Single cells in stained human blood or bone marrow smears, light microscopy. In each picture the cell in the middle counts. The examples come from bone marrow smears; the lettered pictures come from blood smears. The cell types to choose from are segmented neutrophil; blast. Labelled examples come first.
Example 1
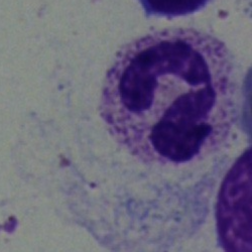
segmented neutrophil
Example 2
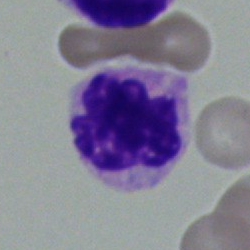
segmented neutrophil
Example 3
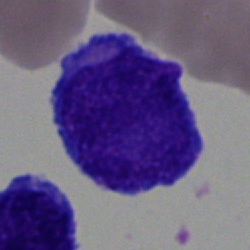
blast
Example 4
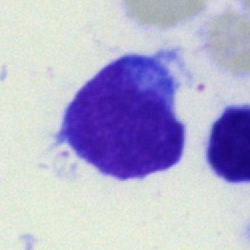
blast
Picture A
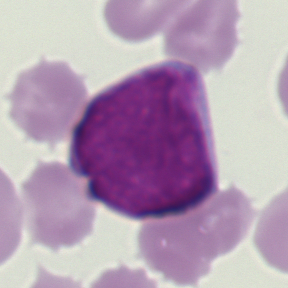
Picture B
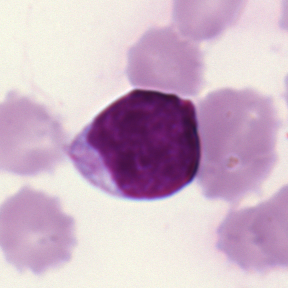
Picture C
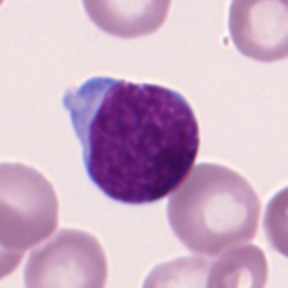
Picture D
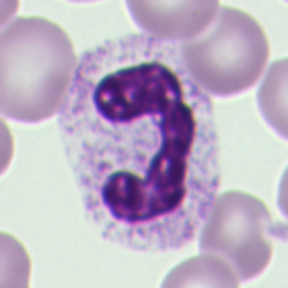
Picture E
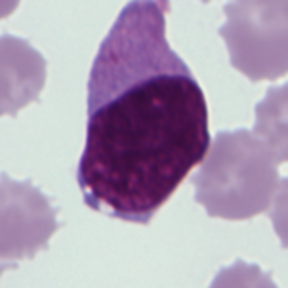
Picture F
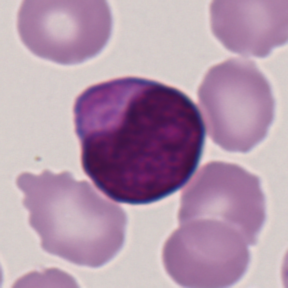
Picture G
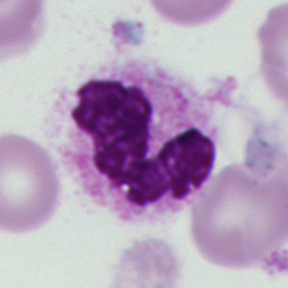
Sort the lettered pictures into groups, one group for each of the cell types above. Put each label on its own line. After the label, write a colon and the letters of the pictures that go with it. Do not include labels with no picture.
segmented neutrophil: D, G
blast: A, B, C, E, F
